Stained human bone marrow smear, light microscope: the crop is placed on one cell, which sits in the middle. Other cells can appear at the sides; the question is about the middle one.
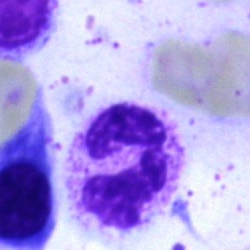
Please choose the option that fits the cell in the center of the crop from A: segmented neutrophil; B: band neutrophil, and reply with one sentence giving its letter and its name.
Occupying the middle of the crop is a segmented neutrophil, hence option A is correct.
